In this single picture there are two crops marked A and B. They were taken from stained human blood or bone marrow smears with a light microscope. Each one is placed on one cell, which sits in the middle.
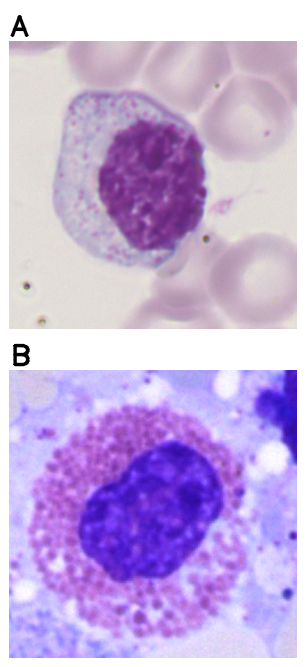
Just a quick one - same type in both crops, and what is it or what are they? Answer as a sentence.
No, the assignment should read crop A, a myelocyte; crop B, an eosinophil.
